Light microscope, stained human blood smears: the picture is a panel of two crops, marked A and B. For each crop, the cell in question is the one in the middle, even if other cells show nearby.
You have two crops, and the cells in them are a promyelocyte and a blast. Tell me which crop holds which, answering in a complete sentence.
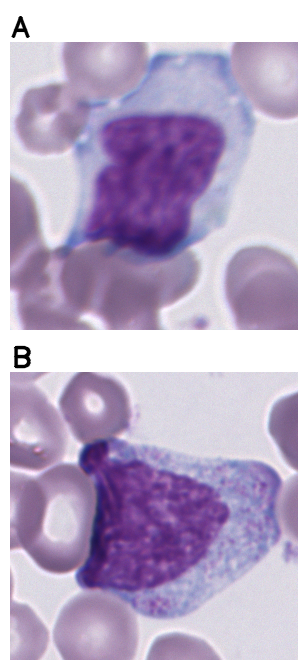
Placed in the middle of crop A is a blast, and in the middle of crop B, a promyelocyte.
